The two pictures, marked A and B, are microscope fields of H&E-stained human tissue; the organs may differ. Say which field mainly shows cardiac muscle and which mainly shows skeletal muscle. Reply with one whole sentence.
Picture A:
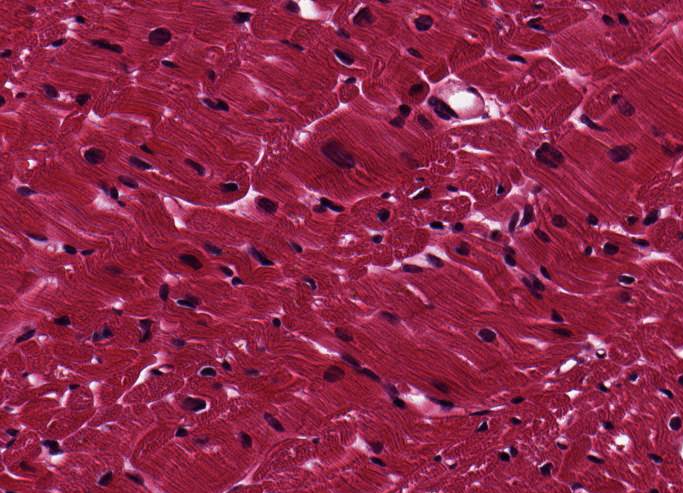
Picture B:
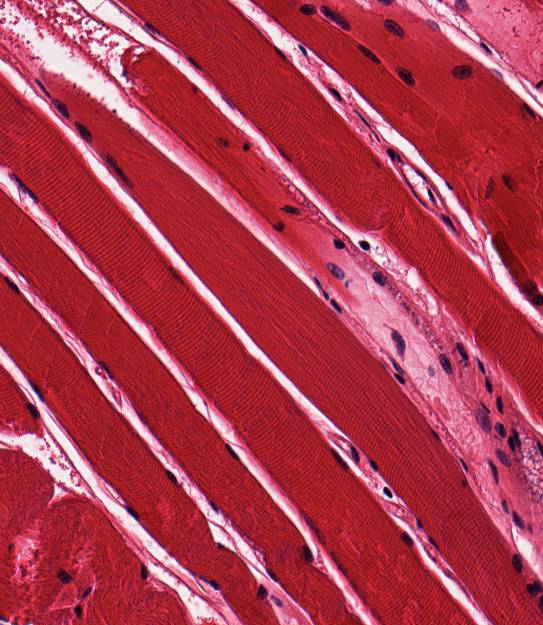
Picture A mainly shows cardiac muscle; picture B mainly shows skeletal muscle.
